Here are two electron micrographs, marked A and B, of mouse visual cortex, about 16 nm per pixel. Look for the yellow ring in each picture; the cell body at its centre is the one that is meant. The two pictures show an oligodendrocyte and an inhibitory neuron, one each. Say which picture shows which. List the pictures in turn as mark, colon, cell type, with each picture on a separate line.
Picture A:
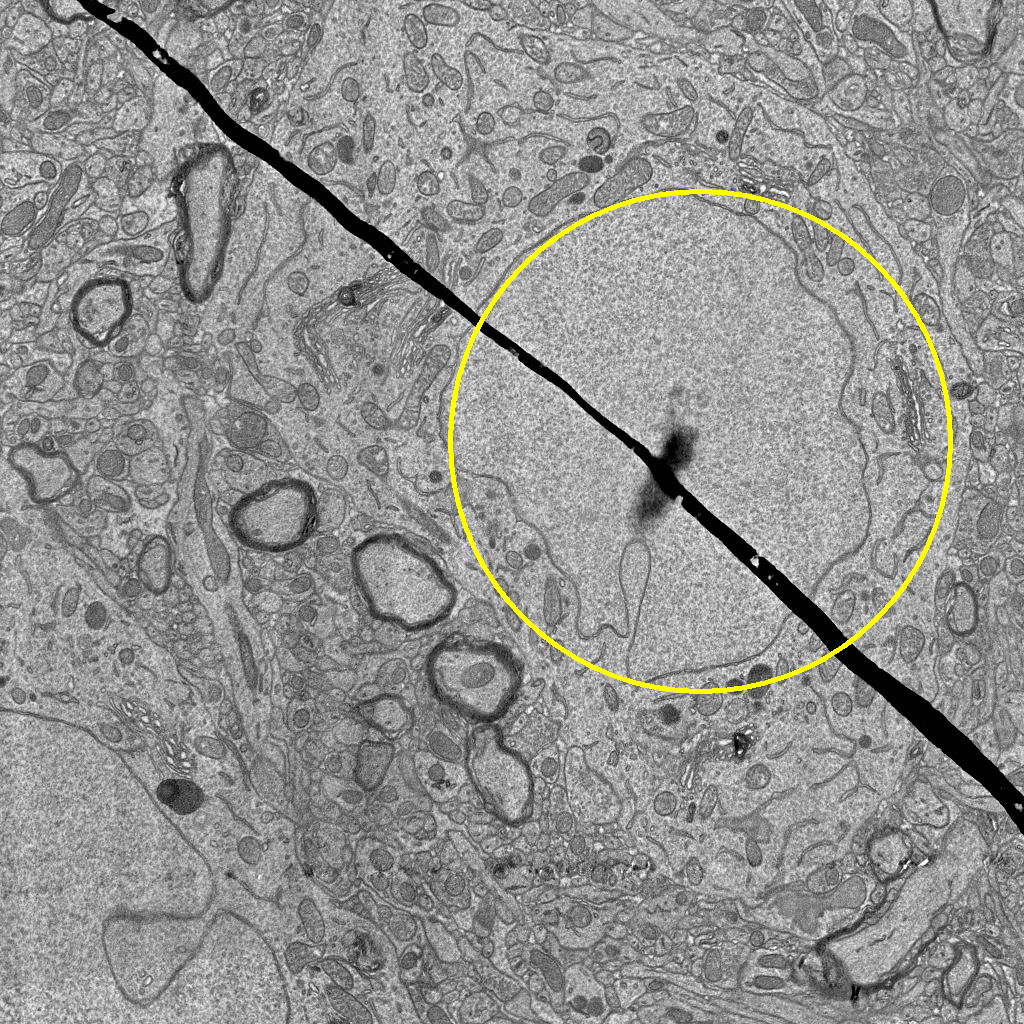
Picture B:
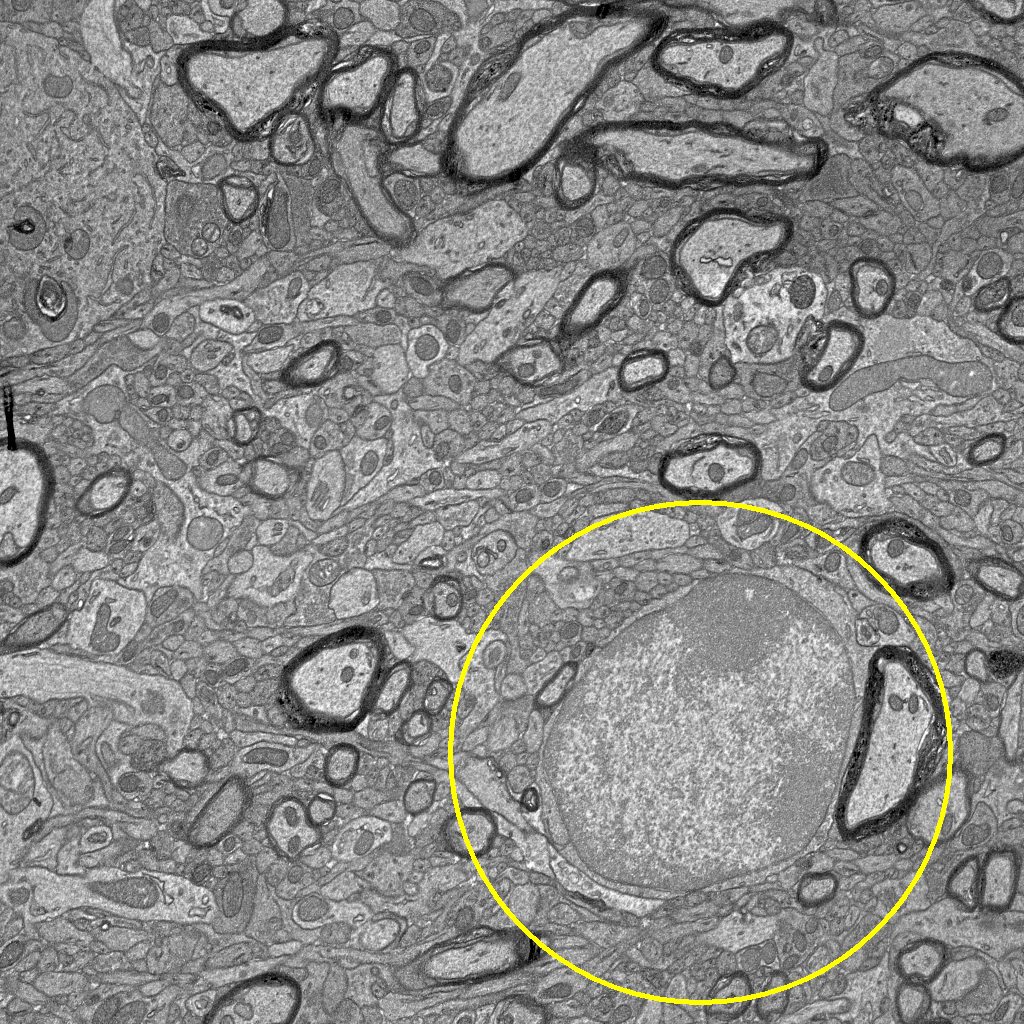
A: inhibitory neuron
B: oligodendrocyte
